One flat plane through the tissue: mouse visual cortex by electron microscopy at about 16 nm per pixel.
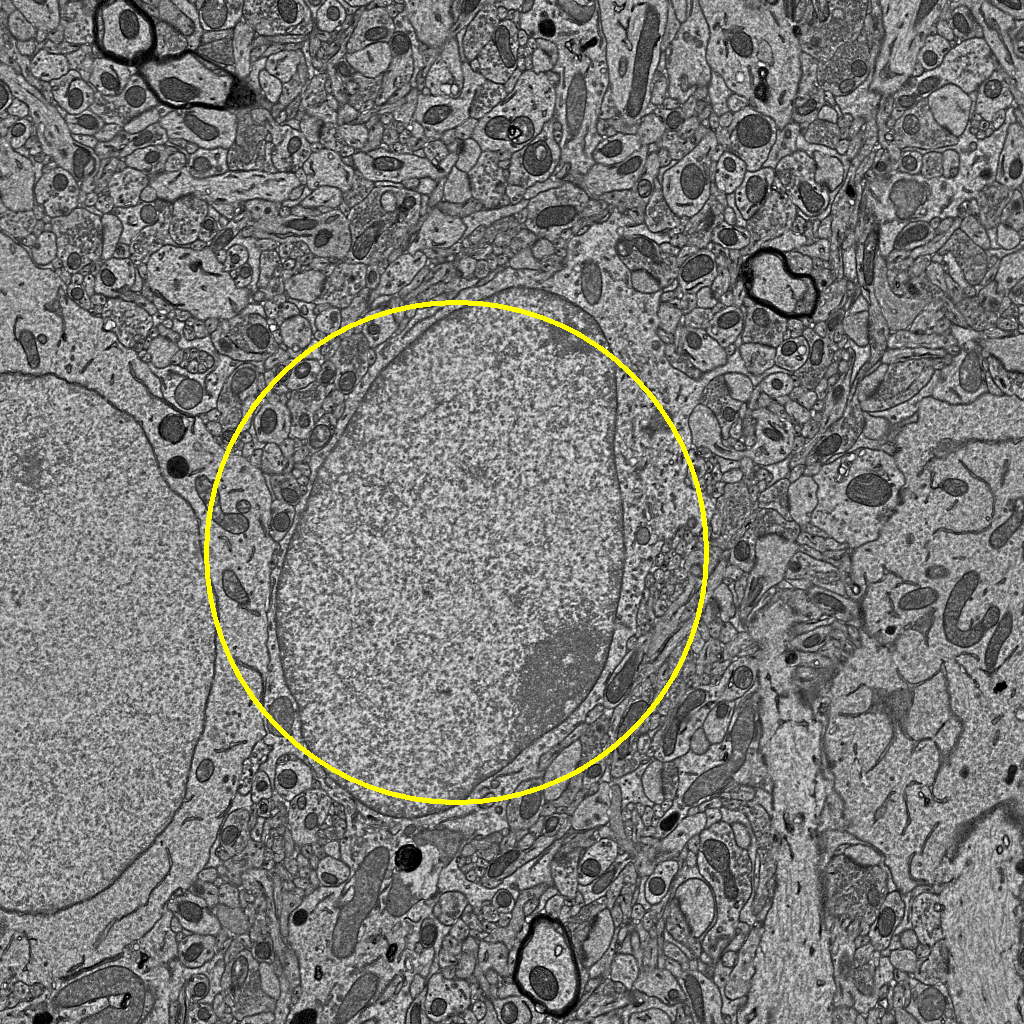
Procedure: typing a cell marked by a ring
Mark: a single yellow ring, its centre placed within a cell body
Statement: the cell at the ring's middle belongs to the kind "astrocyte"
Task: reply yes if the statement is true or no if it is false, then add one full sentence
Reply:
Yes, this is true: the cell at the ring's centre in the picture belongs to that kind.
